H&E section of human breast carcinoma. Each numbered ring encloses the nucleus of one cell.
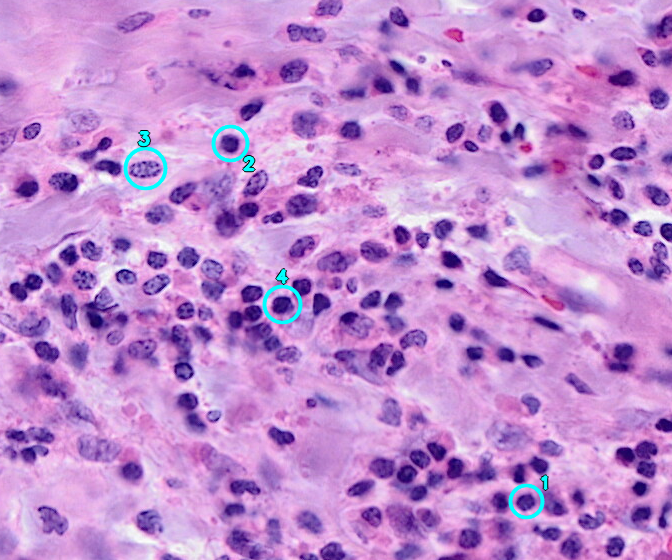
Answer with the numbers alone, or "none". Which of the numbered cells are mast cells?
3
